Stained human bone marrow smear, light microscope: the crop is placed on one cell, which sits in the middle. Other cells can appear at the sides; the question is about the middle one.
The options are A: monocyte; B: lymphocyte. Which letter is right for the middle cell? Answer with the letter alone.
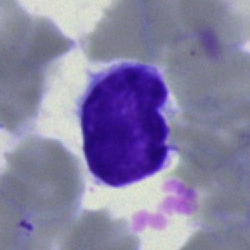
B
